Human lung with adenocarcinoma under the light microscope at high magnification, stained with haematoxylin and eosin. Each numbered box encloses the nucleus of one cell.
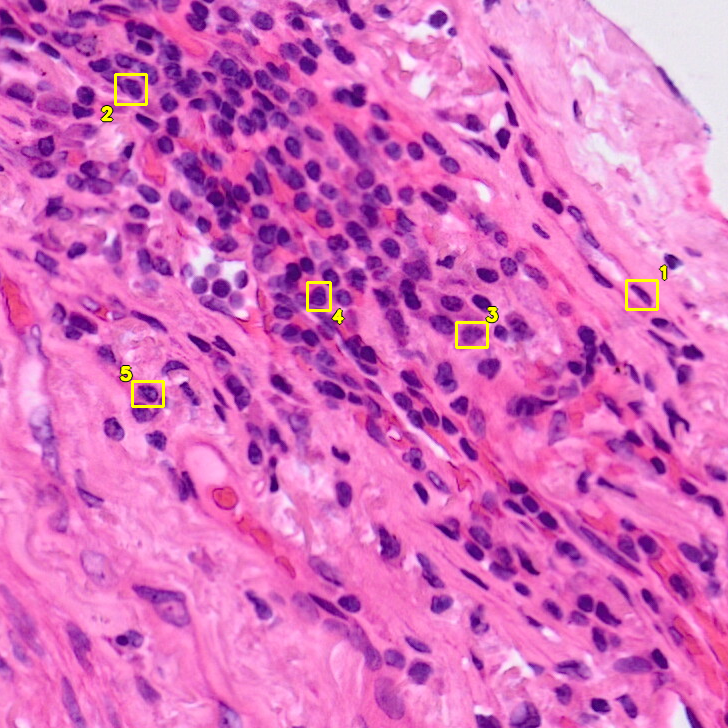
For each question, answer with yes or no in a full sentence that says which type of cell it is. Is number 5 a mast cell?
Yes, the cell marked by the number 5 is a mast cell.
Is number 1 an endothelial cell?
Yes, the cell that bears number 1 is an endothelial cell.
